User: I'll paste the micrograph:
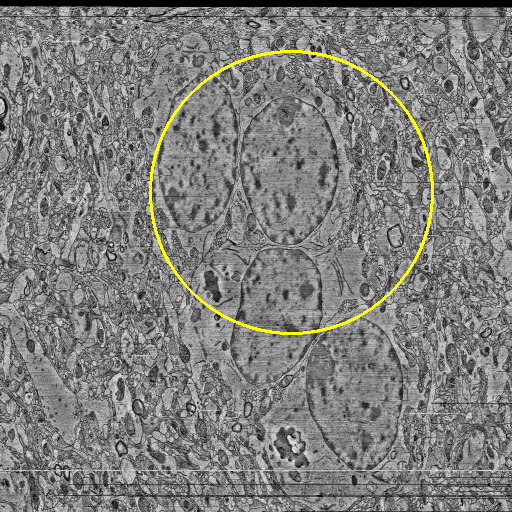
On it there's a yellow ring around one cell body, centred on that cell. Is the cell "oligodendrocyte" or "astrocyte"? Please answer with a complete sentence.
The cell ringed in yellow is an astrocyte.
